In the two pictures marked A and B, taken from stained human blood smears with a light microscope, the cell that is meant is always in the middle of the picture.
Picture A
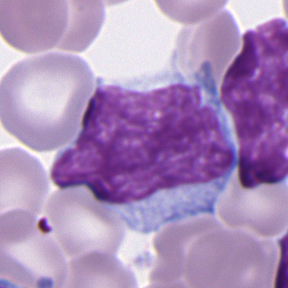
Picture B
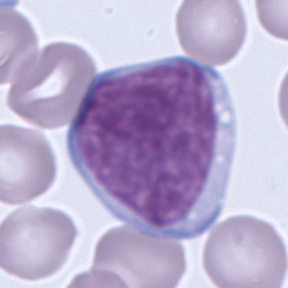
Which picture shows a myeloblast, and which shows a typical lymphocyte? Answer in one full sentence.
Picture A is of a typical lymphocyte, and picture B is of a myeloblast.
